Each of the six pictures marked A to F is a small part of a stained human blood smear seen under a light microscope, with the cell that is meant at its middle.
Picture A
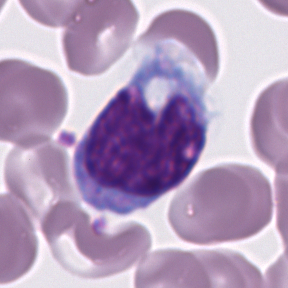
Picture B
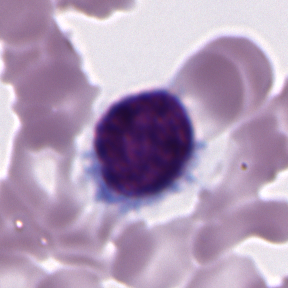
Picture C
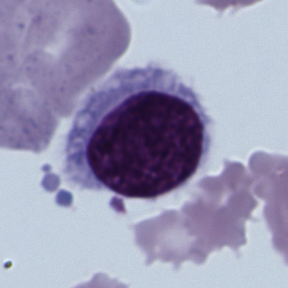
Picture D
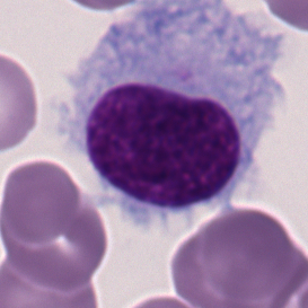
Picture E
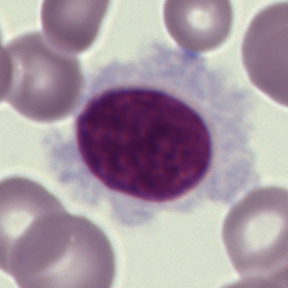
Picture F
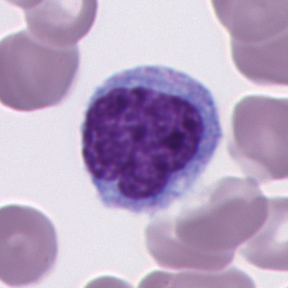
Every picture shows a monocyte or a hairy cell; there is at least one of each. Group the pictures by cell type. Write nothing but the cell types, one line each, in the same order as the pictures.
monocyte
hairy cell
hairy cell
hairy cell
hairy cell
monocyte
